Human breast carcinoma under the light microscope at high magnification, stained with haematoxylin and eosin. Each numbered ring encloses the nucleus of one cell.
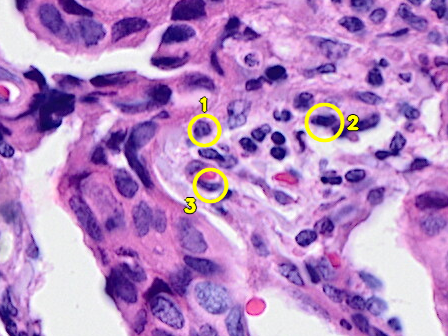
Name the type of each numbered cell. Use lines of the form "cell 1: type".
cell 1: lymphocyte
cell 2: lymphocyte
cell 3: endothelial cell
